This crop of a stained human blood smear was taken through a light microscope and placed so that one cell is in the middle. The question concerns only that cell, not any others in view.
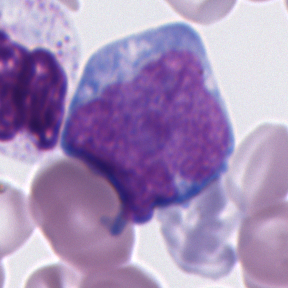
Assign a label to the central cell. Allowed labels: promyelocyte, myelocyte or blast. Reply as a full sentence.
The cell nearest the centre of this crop is a blast.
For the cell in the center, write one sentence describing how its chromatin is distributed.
Coarse clumps are absent, and the chromatin is fine throughout.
